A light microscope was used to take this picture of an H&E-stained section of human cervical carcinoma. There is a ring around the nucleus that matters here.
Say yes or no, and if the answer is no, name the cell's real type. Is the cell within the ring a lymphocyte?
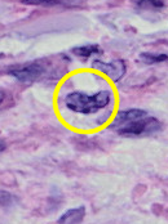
Yes.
